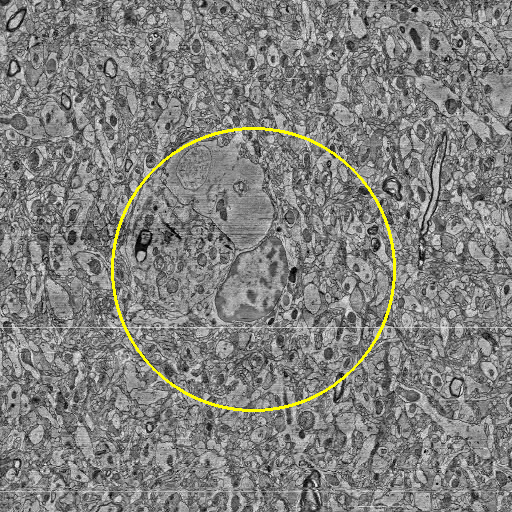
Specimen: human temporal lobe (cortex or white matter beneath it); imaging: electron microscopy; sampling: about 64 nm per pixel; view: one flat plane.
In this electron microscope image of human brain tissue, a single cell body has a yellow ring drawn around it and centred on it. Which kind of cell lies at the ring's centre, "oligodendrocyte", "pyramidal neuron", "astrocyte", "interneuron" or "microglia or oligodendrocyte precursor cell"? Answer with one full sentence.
It is a microglial cell or oligodendrocyte precursor cell whose cell body lies at the centre of the yellow ring here.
